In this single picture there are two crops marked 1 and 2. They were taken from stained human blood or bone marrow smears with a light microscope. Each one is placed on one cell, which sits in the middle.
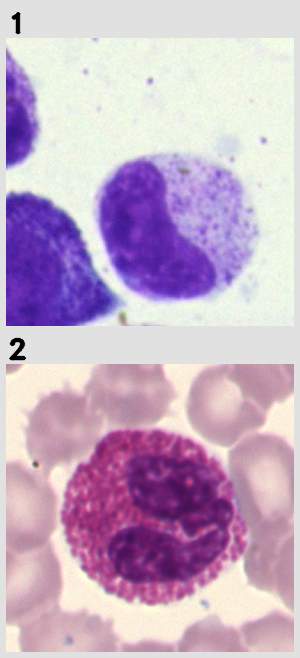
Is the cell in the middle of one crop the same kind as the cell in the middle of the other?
no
